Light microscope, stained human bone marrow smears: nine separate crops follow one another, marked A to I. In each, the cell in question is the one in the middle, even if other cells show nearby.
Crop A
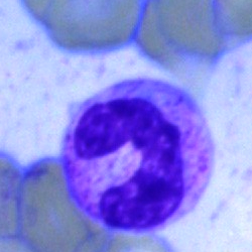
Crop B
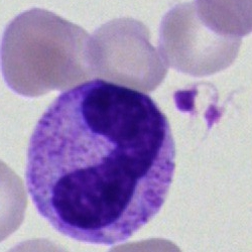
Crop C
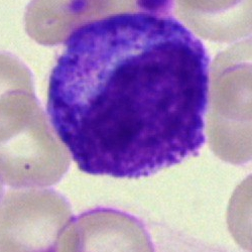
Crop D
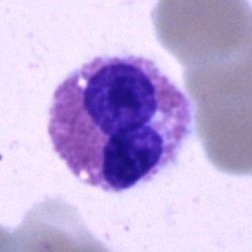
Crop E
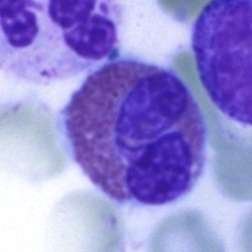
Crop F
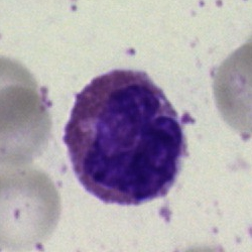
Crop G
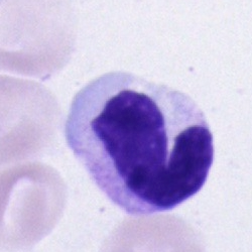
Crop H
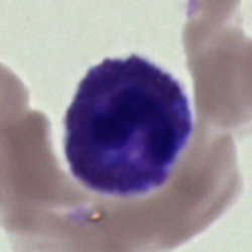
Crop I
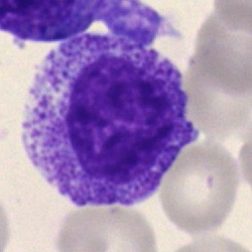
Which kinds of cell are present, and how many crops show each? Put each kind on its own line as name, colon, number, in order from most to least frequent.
eosinophil: 4
band neutrophil: 3
myelocyte: 2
